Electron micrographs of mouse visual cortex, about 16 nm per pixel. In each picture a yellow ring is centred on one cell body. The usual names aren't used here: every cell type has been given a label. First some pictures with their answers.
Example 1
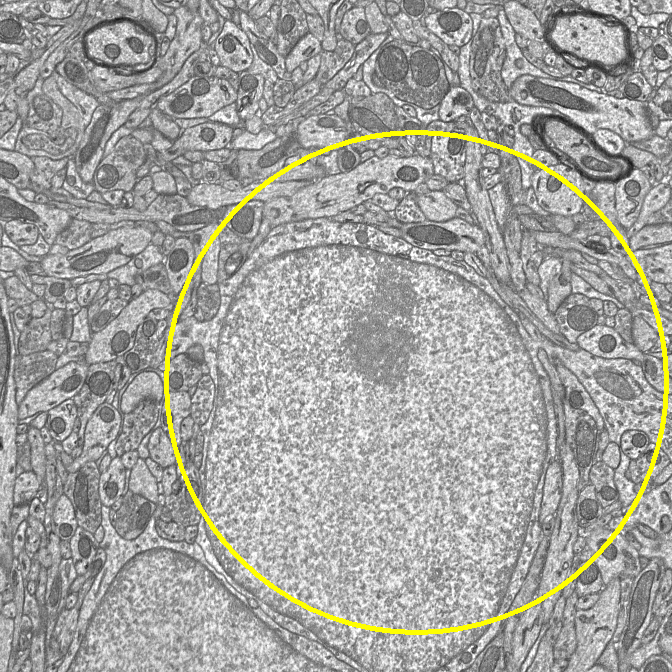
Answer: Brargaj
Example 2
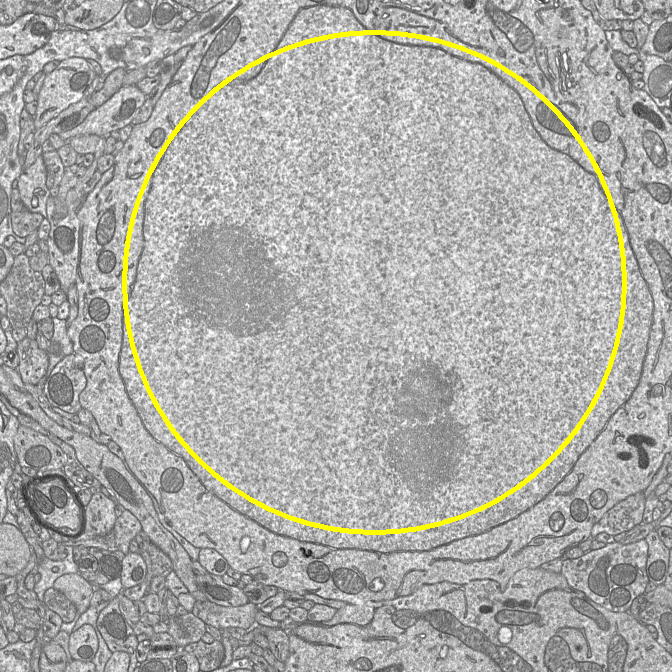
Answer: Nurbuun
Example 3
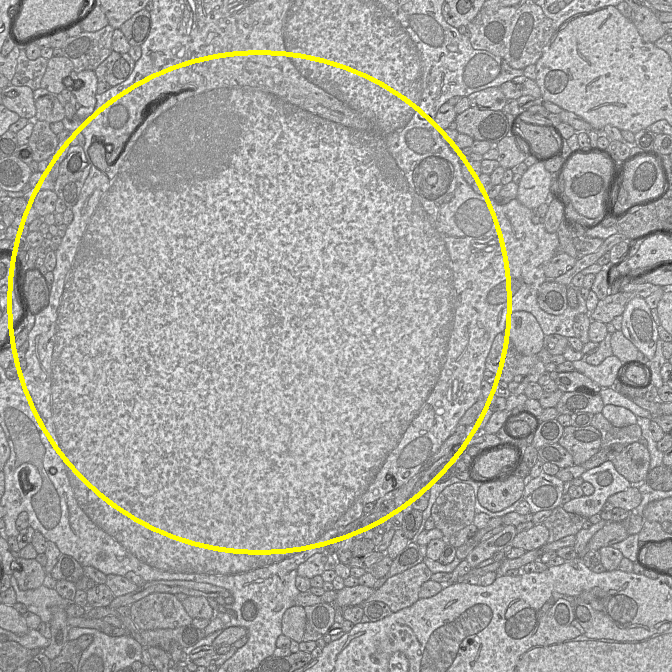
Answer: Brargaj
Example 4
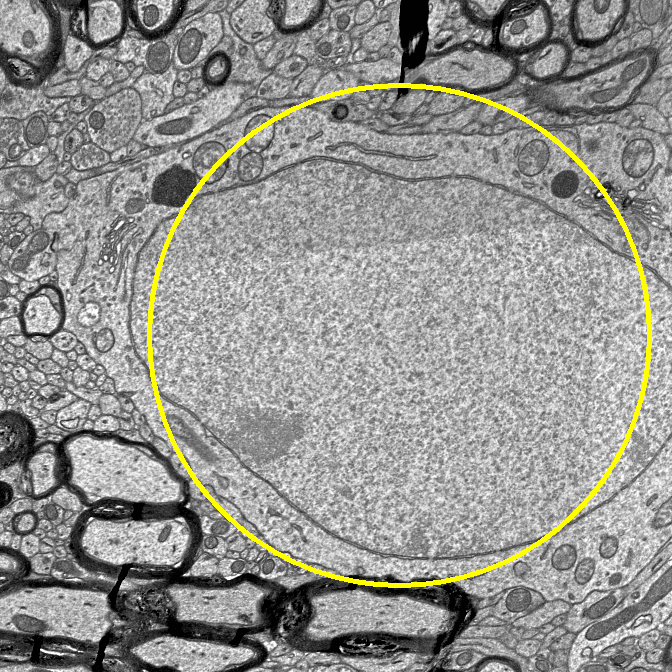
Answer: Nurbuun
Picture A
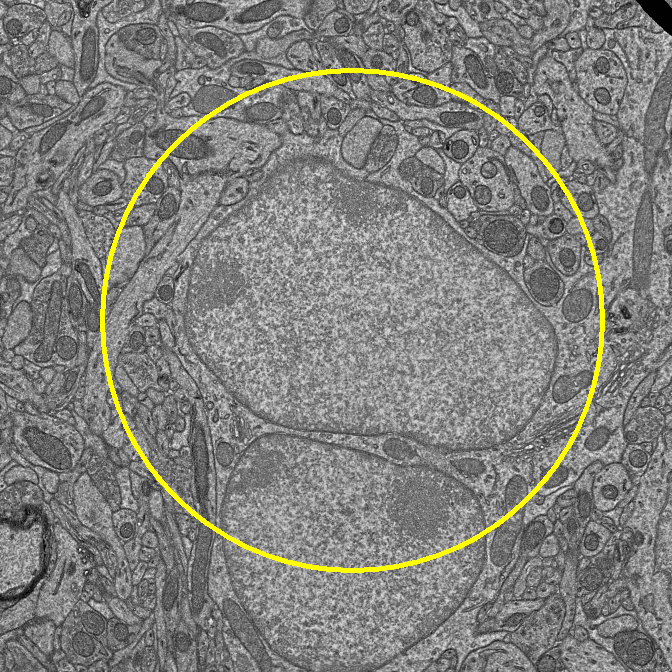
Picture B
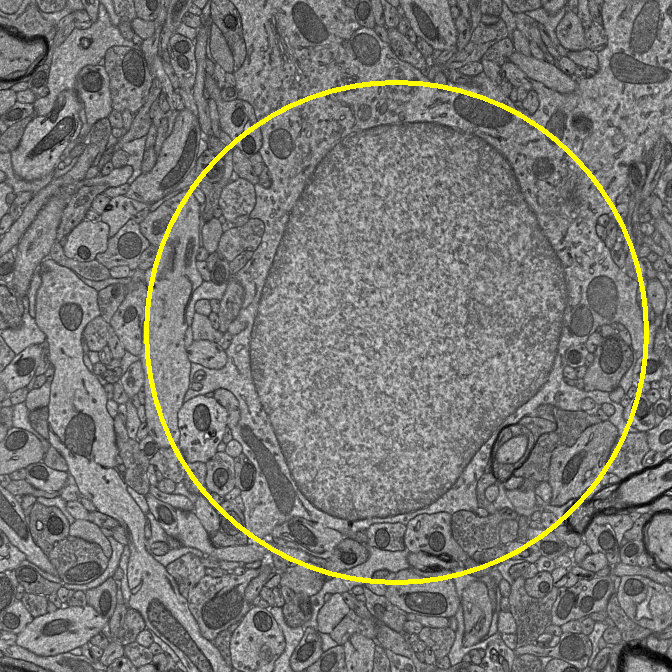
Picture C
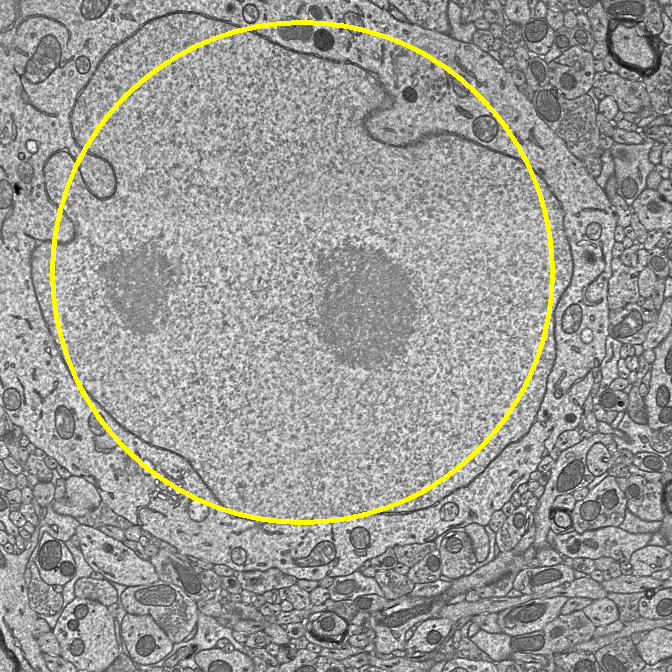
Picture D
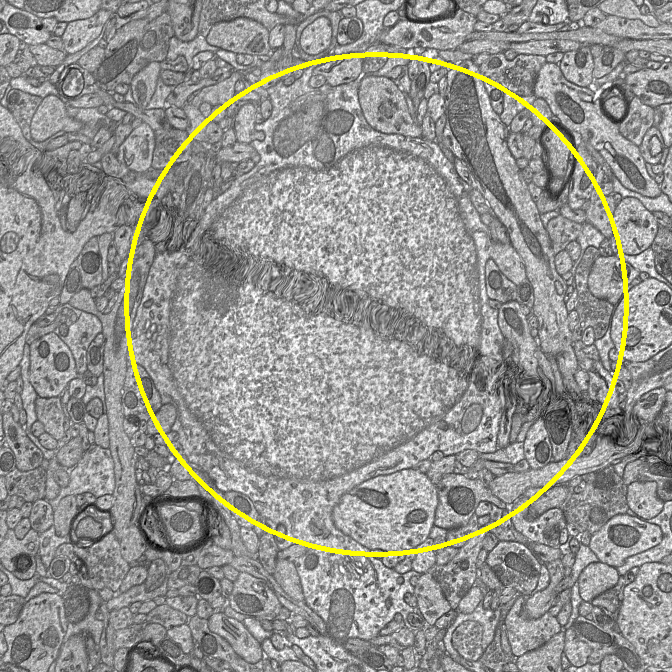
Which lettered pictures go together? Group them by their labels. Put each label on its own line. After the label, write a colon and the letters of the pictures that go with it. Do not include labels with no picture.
Brargaj: A, B, D
Nurbuun: C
